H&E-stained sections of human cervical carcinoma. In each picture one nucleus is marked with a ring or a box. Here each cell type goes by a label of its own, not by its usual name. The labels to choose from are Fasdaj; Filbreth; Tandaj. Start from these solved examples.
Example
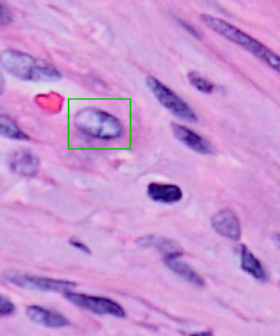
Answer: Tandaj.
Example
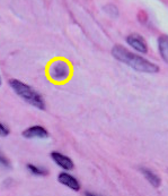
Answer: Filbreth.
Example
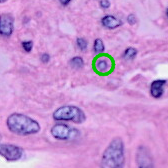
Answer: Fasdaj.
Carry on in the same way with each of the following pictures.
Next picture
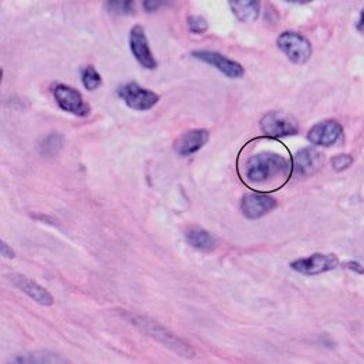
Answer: Tandaj.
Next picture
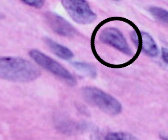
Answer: Tandaj.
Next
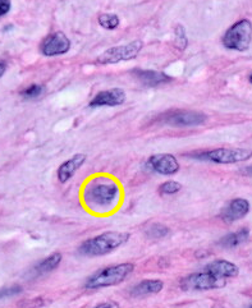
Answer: Fasdaj.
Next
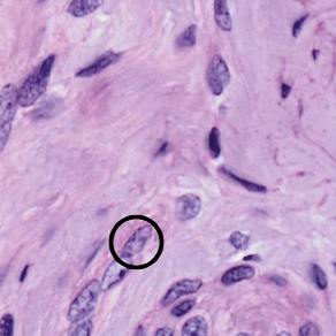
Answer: Tandaj.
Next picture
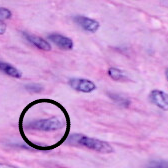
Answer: Fasdaj.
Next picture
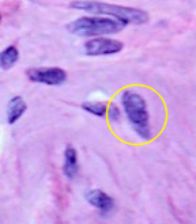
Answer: Filbreth.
